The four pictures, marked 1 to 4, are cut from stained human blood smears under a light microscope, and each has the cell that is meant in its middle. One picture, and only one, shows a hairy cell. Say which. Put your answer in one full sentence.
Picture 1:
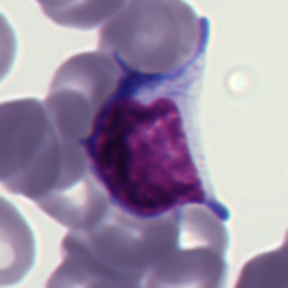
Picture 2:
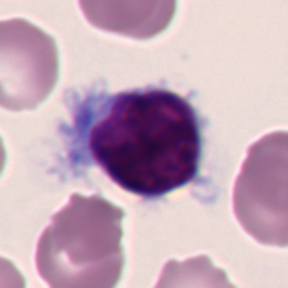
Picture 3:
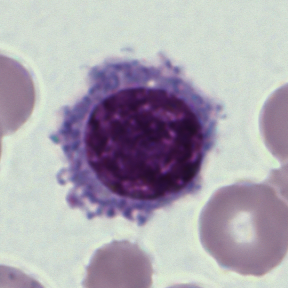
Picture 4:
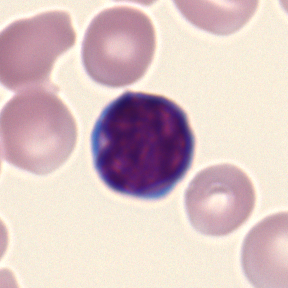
The cell in picture 2 is the hairy cell.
